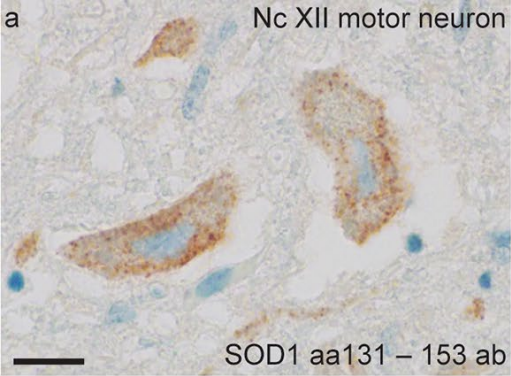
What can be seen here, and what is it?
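The cytoplasm is peppered with many small brown granules, which are the small granular inclusions, denser towards the cell margins. Small blue glial nuclei lie scattered in the pale surrounding neuropil.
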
